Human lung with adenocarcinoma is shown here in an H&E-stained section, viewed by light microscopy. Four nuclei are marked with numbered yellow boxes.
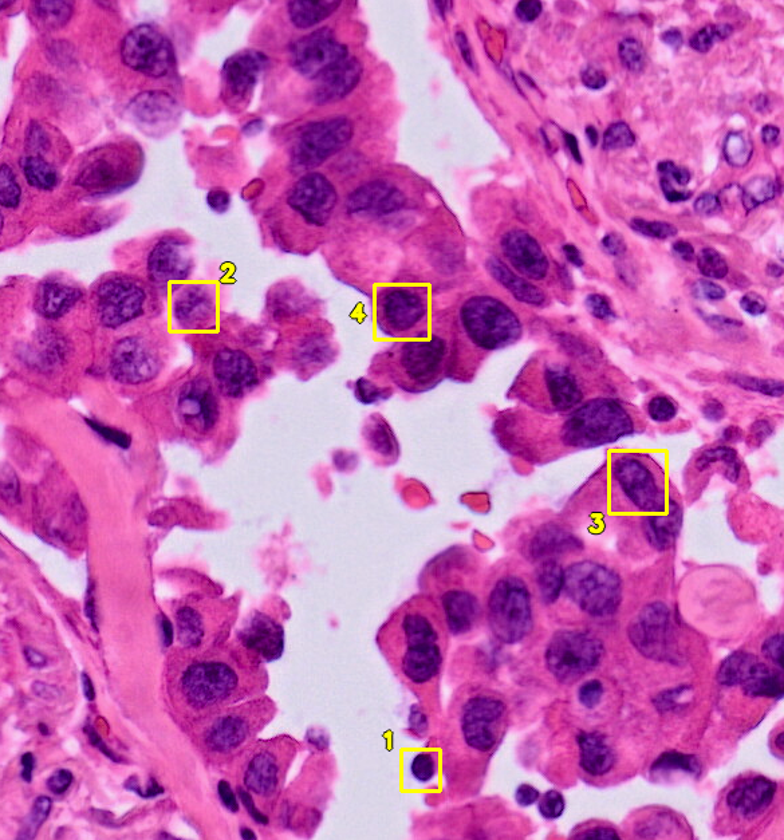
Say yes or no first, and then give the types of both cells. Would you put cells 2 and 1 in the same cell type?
No, cell 2 is a carcinoma cell and cell 1 is a lymphocyte.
